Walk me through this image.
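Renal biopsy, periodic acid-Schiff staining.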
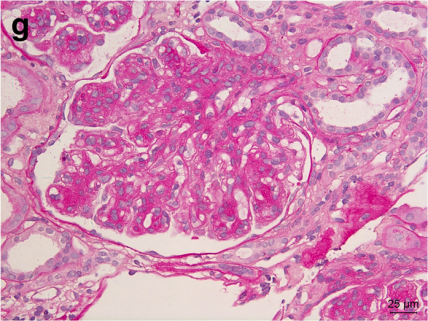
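A glomerulus in kidney tissue stained magenta, with an enlarged, lobulated tuft that fills most of Bowman's space and contains many nuclei. Capillary walls and the matrix between loops stain strongly magenta. Tubules lined by cuboidal epithelium and interstitium surround the capsule.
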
